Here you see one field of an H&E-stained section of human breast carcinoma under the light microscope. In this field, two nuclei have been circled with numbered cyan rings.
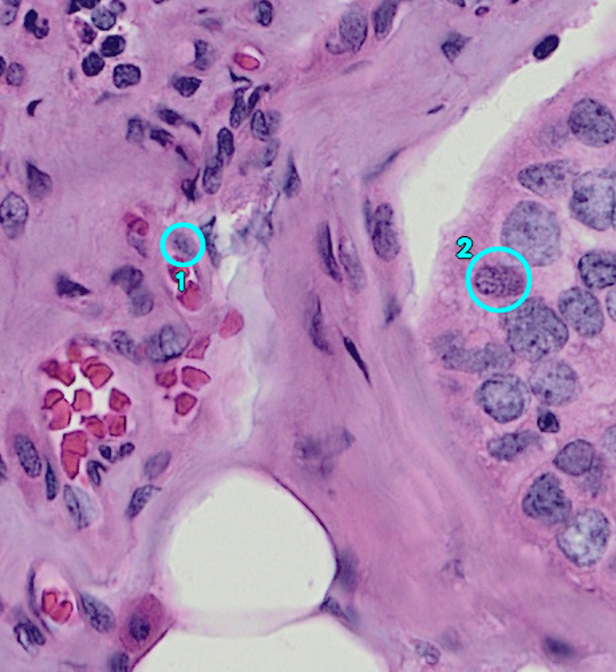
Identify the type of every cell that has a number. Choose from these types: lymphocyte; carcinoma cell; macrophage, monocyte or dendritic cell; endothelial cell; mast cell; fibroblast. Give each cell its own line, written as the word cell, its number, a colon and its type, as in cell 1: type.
cell 1: endothelial cell
cell 2: carcinoma cell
